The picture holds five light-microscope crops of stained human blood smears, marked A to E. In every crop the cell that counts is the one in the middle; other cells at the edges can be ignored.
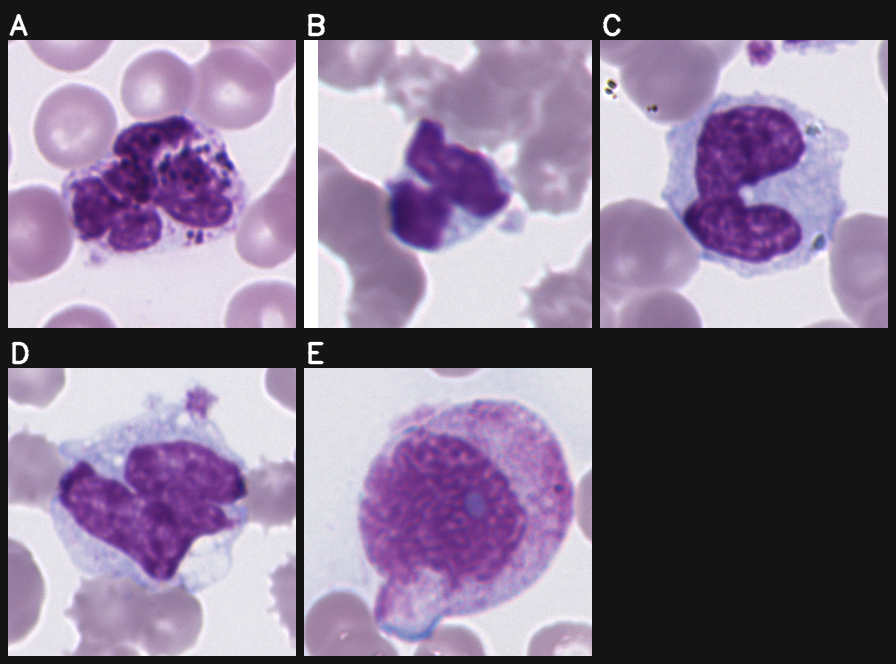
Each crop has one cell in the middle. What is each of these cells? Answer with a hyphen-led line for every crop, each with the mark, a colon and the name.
- A: basophil
- B: typical lymphocyte
- C: monocyte
- D: monocyte
- E: atypical promyelocyte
